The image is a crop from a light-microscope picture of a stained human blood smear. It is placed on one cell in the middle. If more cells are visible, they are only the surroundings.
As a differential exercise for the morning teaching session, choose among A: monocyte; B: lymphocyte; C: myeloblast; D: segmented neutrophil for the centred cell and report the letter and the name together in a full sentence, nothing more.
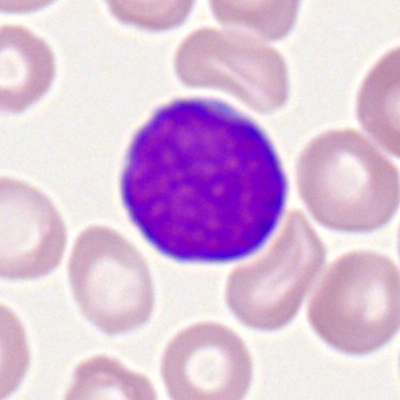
With the cell in the middle being a myeloblast, option C is the correct choice.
